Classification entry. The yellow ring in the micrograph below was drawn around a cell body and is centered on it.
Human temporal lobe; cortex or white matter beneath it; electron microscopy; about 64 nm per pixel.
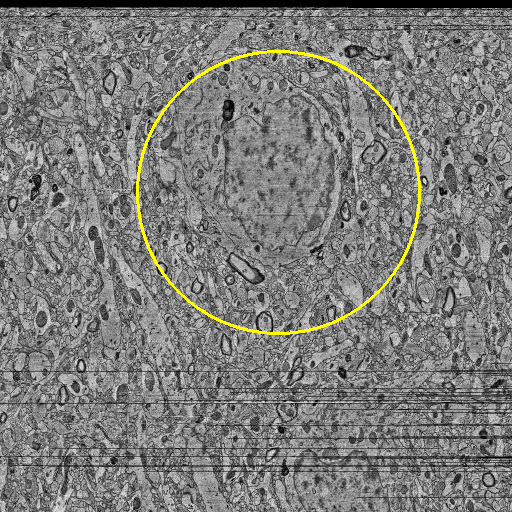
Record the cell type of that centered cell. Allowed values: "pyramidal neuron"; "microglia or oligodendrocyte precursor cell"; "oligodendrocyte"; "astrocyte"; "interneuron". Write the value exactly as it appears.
interneuron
